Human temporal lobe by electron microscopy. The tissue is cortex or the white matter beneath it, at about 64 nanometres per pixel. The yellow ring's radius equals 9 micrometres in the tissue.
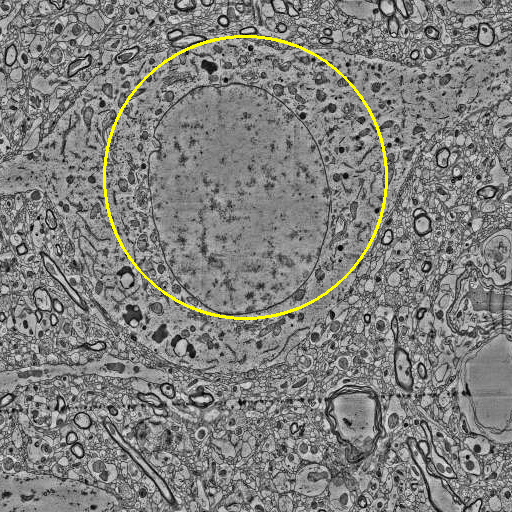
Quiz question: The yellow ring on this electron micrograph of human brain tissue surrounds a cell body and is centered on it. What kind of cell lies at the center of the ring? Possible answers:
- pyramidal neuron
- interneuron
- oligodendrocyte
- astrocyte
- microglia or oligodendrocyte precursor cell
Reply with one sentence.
The ring's center lies on a pyramidal neuron.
